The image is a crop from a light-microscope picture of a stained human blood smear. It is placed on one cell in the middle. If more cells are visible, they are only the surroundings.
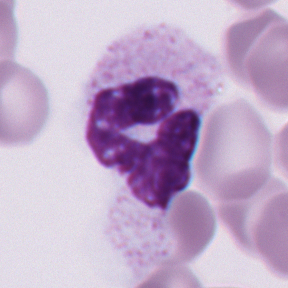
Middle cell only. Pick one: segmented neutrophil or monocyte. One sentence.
For this crop, the cell in the middle is a segmented neutrophil.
